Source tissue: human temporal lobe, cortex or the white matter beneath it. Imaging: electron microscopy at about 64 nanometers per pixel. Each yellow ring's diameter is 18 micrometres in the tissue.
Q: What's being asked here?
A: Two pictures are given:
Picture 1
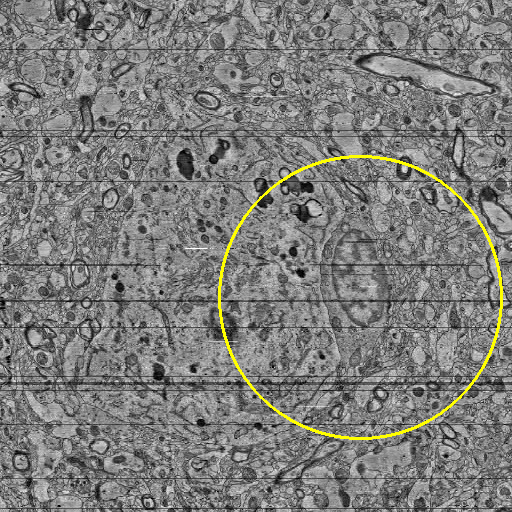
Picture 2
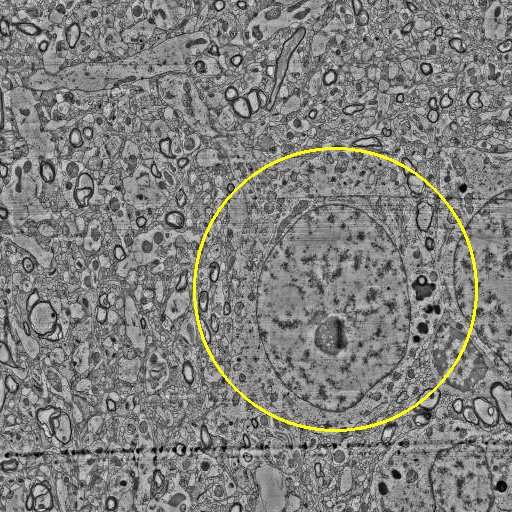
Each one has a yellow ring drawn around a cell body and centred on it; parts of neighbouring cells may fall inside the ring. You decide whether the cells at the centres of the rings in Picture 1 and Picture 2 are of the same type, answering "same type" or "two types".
two types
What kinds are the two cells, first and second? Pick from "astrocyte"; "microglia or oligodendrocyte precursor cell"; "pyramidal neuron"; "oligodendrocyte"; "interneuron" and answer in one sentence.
The second picture holds a pyramidal neuron in its ring, and the first holds an oligodendrocyte.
